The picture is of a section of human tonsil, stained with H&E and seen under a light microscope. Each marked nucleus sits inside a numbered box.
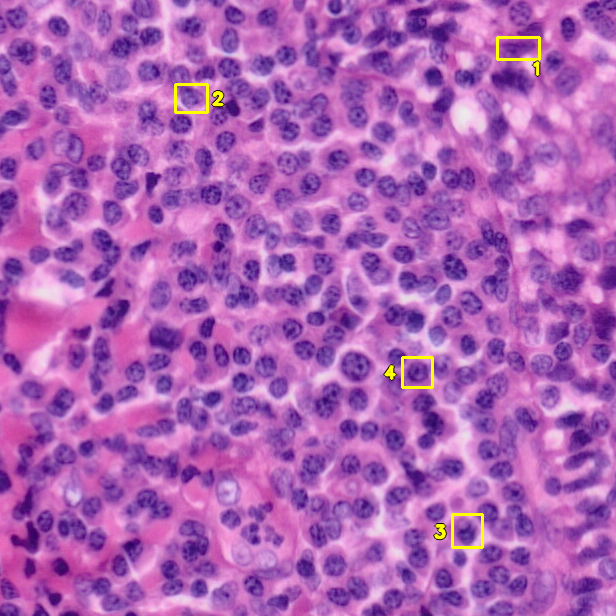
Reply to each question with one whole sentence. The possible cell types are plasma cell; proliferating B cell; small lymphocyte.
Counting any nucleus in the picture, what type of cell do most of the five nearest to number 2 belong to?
Plasma cells account for more than half of the five nuclei nearest to number 2.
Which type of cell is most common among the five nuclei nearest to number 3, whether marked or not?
The majority of the five nuclei closest to number 3 belong to plasma cells.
